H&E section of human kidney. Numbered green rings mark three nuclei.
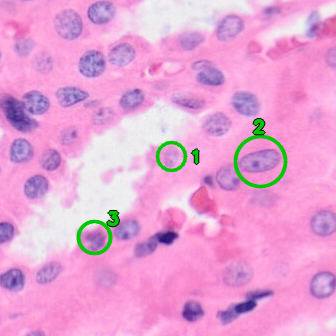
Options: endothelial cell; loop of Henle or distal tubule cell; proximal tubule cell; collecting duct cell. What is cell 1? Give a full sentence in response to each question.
The cell bearing label 1 corresponds to a loop of Henle or distal tubule cell.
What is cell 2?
The nucleus marked 2 is the nucleus of a proximal tubule cell.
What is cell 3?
In this section, number 3 marks a loop of Henle or distal tubule cell.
